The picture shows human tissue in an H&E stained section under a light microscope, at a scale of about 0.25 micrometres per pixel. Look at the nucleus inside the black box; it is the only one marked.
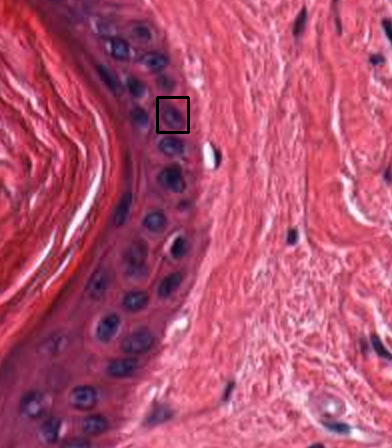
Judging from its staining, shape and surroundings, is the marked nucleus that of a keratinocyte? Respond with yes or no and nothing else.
yes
